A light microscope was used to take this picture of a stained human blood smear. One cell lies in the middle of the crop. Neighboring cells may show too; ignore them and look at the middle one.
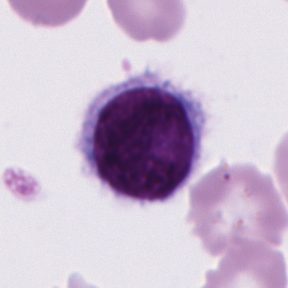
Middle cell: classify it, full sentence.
The cell found in the middle of this crop is a hairy cell.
